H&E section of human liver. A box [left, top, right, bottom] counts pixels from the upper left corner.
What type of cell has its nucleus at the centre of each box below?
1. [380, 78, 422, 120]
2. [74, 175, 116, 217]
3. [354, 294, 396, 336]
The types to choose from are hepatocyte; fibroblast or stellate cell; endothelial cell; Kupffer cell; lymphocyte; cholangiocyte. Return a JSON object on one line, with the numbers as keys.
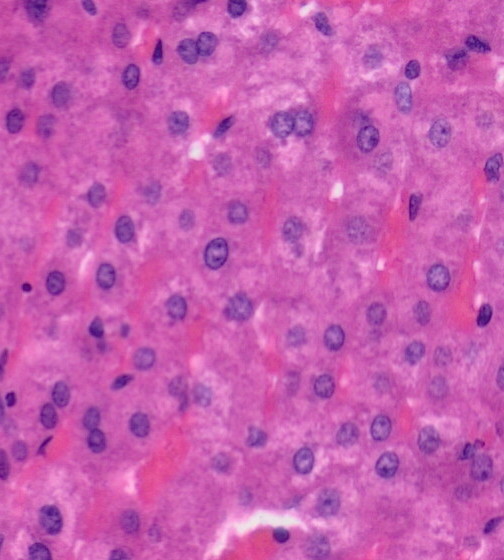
{"1": "cholangiocyte", "2": "hepatocyte", "3": "hepatocyte"}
